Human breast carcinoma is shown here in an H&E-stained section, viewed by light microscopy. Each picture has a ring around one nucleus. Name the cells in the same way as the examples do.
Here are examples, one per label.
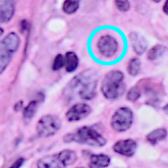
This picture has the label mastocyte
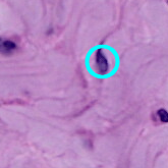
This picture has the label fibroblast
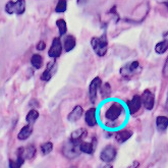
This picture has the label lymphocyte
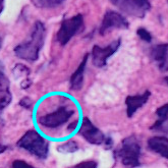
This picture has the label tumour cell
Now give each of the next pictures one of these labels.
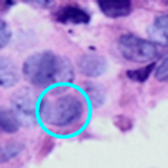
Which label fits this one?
tumour cell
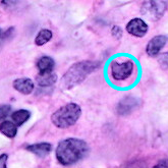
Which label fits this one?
lymphocyte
